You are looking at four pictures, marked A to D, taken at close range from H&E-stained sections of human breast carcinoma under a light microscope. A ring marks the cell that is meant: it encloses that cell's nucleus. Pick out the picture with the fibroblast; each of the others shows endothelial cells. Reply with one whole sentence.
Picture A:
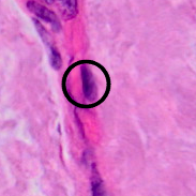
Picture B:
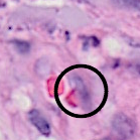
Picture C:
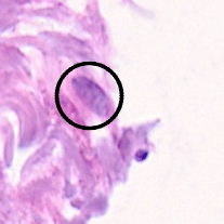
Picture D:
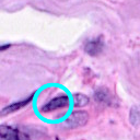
The picture with the fibroblast is C.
